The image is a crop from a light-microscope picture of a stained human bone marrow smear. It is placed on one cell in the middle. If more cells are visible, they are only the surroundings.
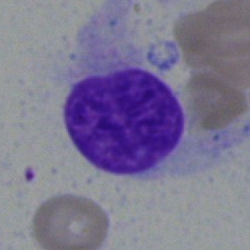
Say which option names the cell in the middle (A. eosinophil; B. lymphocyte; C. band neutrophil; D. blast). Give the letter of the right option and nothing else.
B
